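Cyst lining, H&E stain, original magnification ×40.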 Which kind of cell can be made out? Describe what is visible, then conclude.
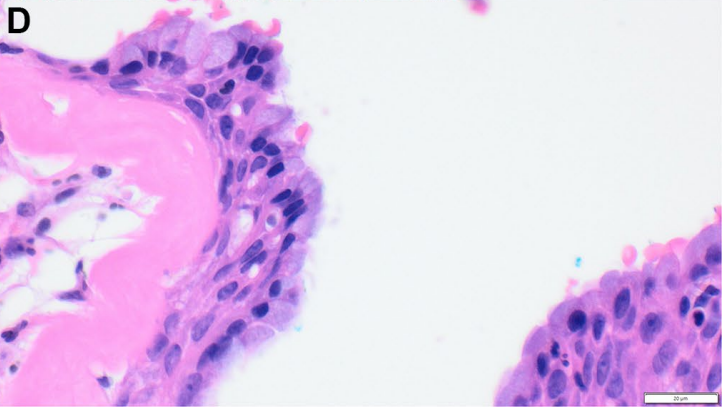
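Mucous cells. Some cells near the surface have pale, bubbly, faintly bluish cytoplasm. These pale cells sit among cells with darker, elongated nuclei.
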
